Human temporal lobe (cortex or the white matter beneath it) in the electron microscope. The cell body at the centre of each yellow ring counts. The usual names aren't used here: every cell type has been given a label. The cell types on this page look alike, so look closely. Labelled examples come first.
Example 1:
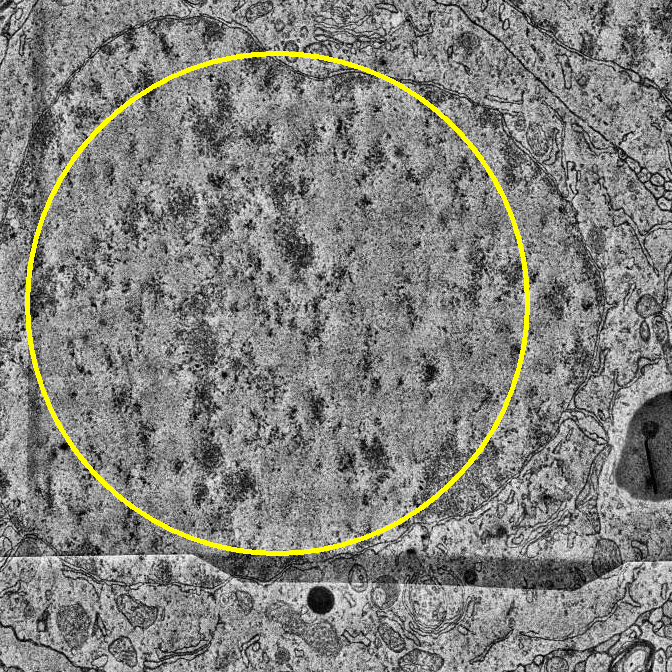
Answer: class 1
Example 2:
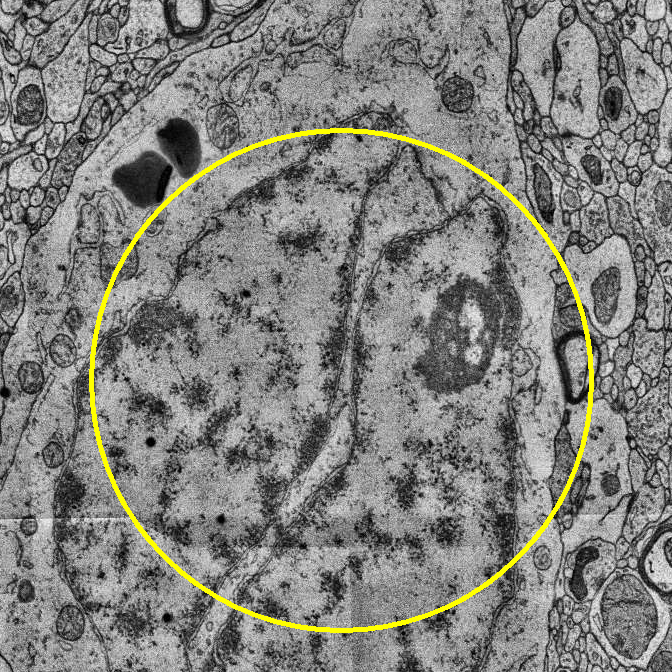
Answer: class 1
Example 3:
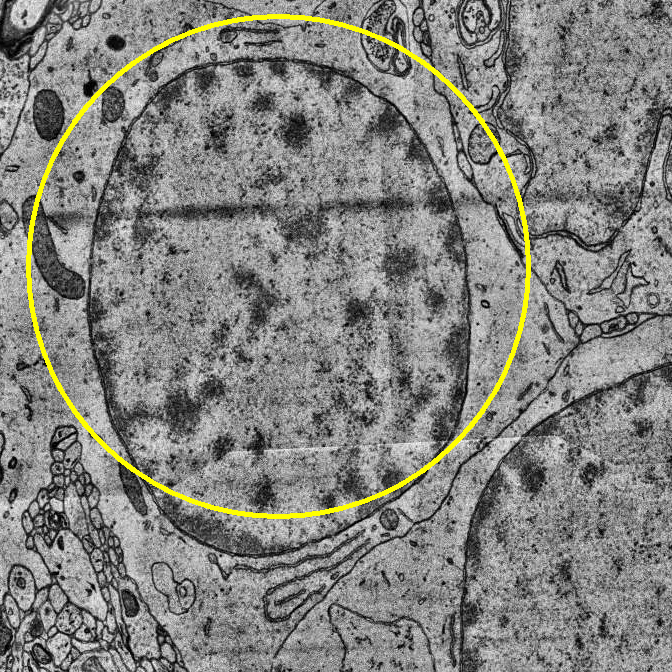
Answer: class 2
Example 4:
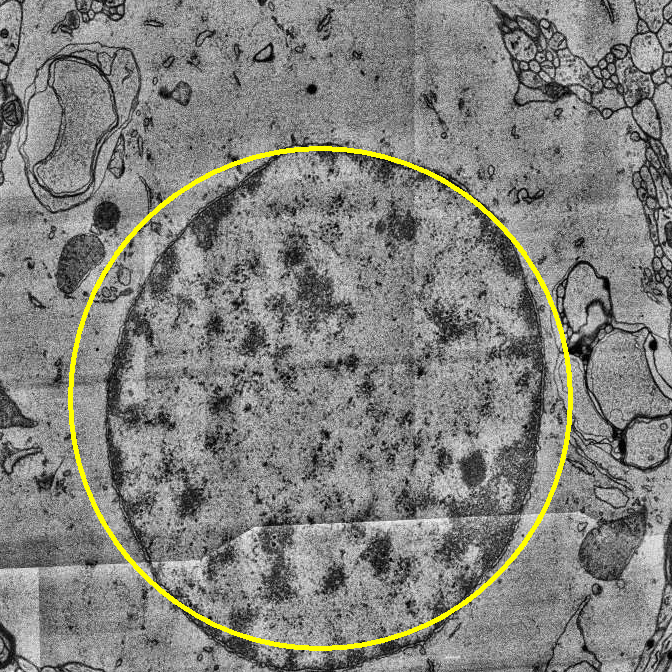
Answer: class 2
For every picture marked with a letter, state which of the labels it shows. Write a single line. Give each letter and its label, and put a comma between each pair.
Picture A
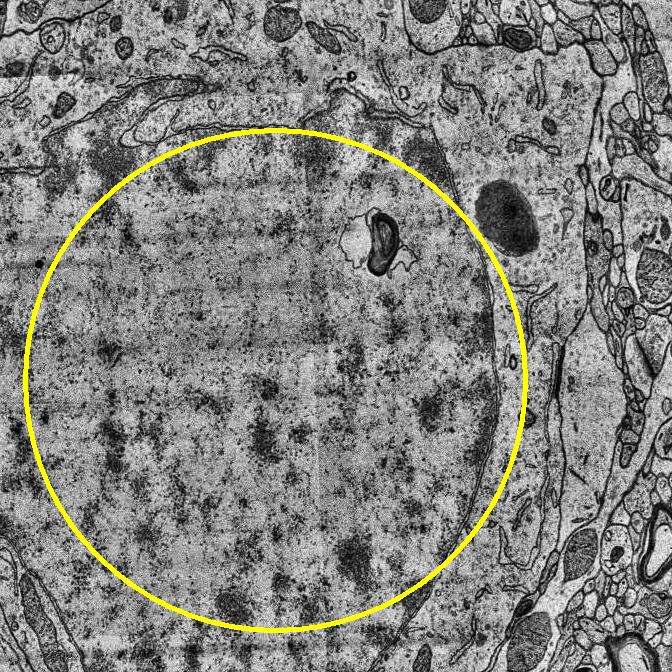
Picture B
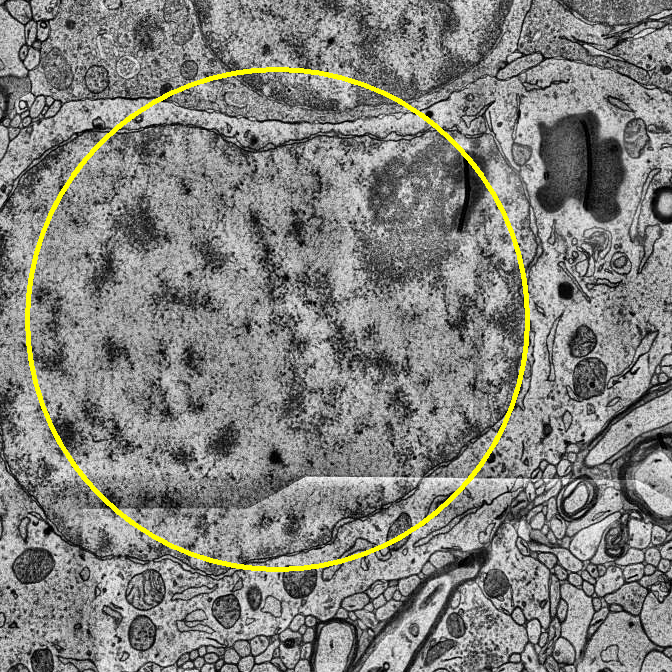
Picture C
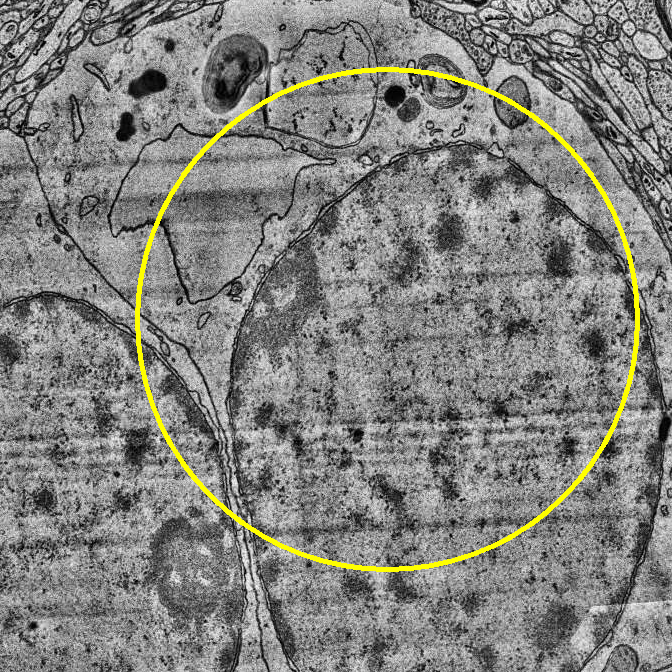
A class 1, B class 1, C class 2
